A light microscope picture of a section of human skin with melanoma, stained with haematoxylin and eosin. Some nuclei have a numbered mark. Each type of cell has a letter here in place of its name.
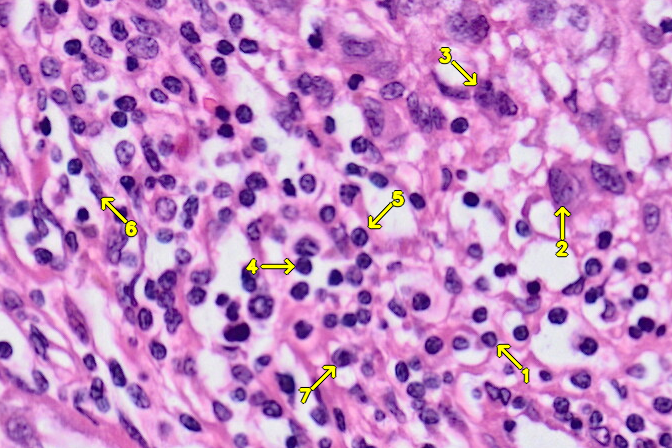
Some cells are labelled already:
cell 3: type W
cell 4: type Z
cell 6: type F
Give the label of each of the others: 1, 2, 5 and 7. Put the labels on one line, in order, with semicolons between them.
type Z; type W; type Z; type Z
